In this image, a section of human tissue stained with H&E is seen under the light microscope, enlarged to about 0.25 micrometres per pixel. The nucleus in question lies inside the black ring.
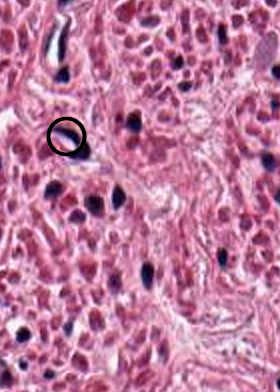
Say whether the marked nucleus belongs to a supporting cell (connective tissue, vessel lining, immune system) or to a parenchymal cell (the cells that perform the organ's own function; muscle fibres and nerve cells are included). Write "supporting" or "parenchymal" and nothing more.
supporting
